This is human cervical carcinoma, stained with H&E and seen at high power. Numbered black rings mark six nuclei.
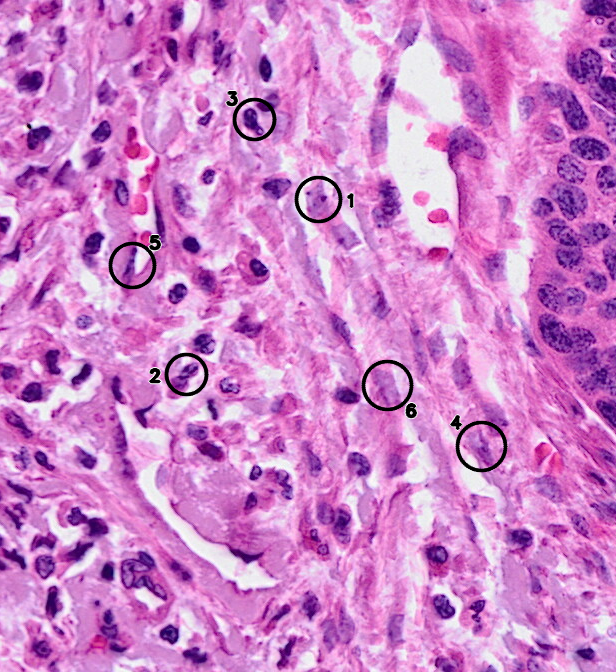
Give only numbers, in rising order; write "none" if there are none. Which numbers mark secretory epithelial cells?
none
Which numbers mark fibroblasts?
1, 4, 6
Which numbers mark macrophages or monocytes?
2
